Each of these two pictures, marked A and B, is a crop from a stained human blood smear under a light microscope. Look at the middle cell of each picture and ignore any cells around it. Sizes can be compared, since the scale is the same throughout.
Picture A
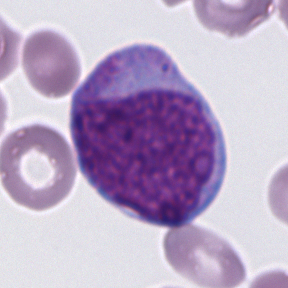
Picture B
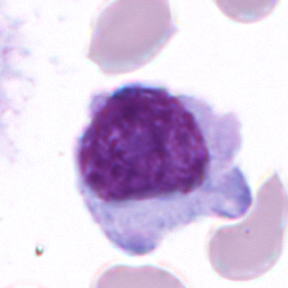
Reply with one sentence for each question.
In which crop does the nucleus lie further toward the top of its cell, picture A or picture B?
It is the nucleus in picture B that lies further toward the top of its cell.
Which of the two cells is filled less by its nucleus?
In picture B the nucleus takes up the smaller part of its cell.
